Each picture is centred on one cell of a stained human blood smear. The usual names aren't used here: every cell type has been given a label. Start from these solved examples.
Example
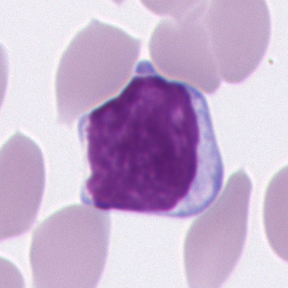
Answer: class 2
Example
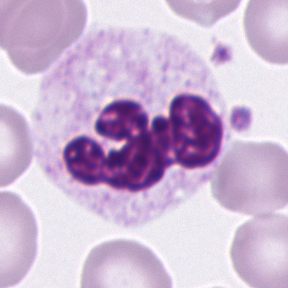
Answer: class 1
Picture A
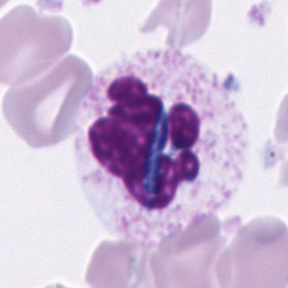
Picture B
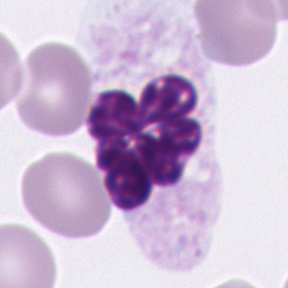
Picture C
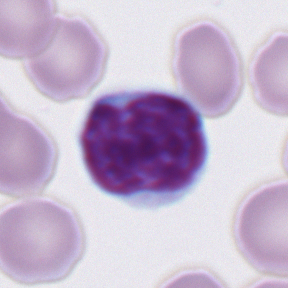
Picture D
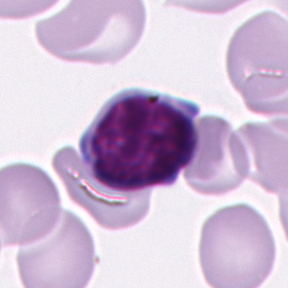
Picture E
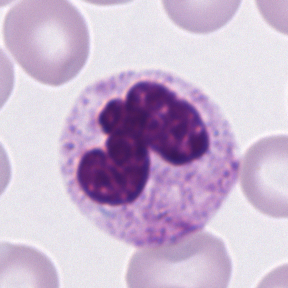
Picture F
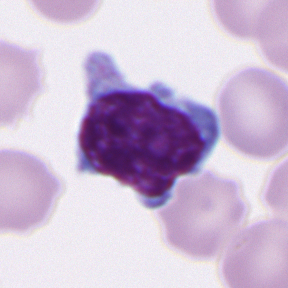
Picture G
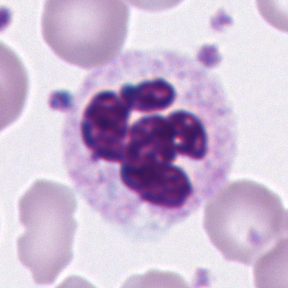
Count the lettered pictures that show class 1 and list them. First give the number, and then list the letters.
Count: 4 (A, B, E, G)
